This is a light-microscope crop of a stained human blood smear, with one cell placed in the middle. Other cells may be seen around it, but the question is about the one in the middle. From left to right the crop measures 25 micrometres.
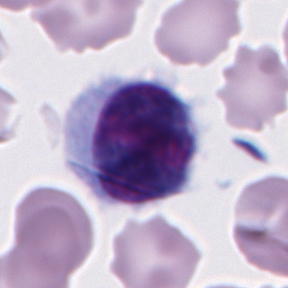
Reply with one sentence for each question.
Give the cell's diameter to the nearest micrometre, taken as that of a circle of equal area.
About 12 micrometres: that is the cell's diameter.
